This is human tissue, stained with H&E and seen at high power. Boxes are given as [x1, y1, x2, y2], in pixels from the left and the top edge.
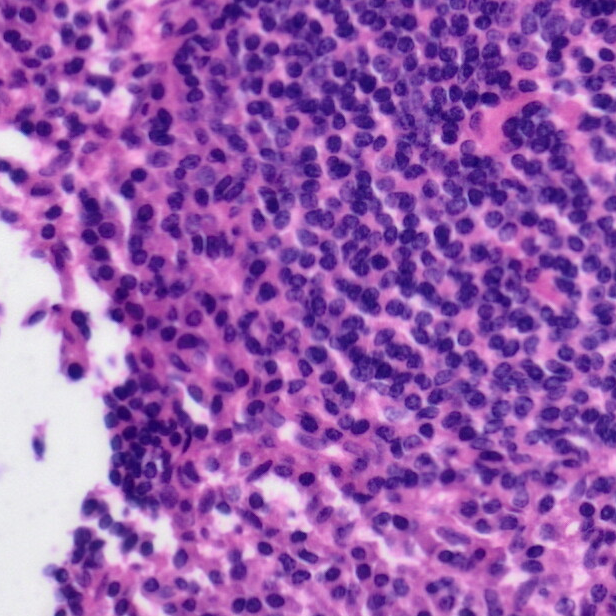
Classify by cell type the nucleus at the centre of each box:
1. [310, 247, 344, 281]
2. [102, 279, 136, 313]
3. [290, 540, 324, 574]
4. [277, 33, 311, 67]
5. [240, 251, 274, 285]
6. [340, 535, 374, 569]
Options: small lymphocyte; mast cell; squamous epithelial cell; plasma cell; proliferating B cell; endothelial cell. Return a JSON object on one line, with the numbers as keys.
{"1": "small lymphocyte", "2": "plasma cell", "3": "plasma cell", "4": "small lymphocyte", "5": "plasma cell", "6": "plasma cell"}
